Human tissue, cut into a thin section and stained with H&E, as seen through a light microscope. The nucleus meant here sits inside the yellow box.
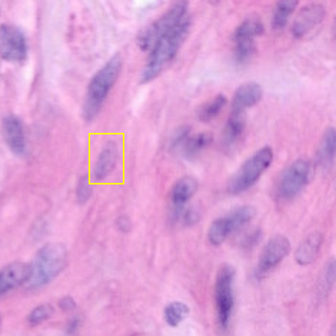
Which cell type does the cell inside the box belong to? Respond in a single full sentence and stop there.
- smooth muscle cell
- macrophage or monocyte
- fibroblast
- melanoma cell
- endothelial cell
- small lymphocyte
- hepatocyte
In short, the cell inside the box on this section is a smooth muscle cell.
